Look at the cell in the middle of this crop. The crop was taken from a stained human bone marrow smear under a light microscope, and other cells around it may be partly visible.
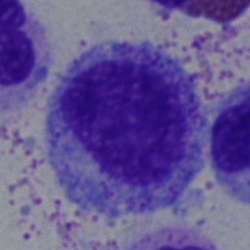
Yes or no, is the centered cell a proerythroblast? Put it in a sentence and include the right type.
No, the central cell is properly termed a promyelocyte, not a proerythroblast.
